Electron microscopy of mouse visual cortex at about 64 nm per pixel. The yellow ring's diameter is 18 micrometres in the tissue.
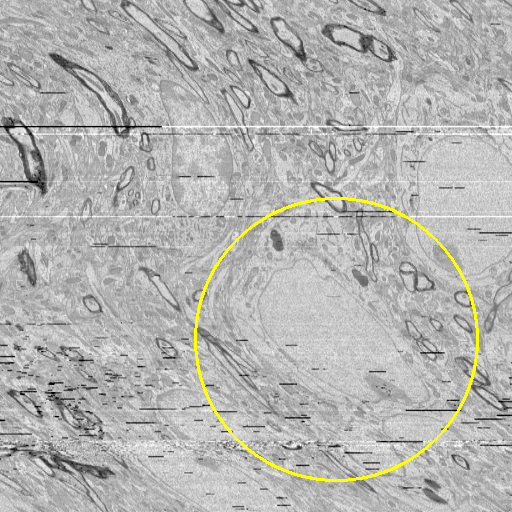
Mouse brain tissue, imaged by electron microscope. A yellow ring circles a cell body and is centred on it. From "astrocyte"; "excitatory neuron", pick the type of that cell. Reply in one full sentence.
The cell body at the centre of the yellow ring belongs to an excitatory neuron.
